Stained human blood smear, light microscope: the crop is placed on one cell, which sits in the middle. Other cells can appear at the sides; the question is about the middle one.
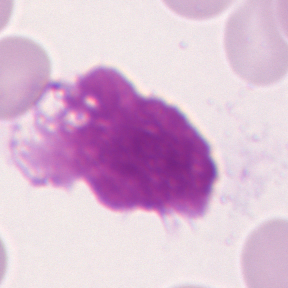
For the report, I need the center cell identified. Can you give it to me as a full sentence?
The centered cell in this crop is a smudge cell.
